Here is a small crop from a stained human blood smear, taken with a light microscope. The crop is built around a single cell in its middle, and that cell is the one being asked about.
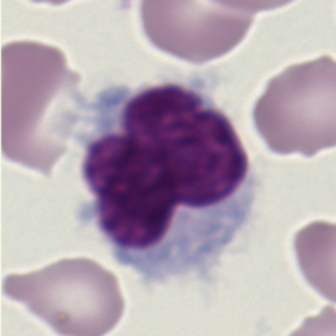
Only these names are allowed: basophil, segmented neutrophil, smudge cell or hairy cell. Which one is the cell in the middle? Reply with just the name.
hairy cell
